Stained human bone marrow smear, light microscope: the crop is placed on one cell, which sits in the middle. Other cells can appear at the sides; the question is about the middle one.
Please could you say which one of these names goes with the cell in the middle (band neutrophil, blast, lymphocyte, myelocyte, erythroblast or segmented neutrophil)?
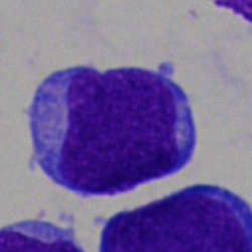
blast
